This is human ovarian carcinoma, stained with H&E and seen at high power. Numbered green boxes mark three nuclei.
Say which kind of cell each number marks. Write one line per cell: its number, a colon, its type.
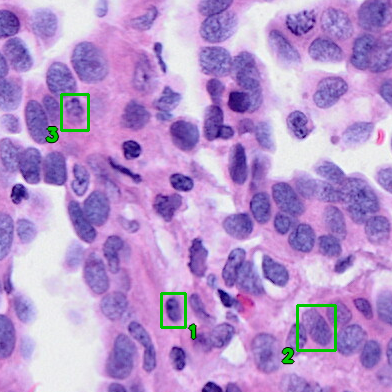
1: lymphocyte
2: carcinoma cell
3: macrophage or monocyte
